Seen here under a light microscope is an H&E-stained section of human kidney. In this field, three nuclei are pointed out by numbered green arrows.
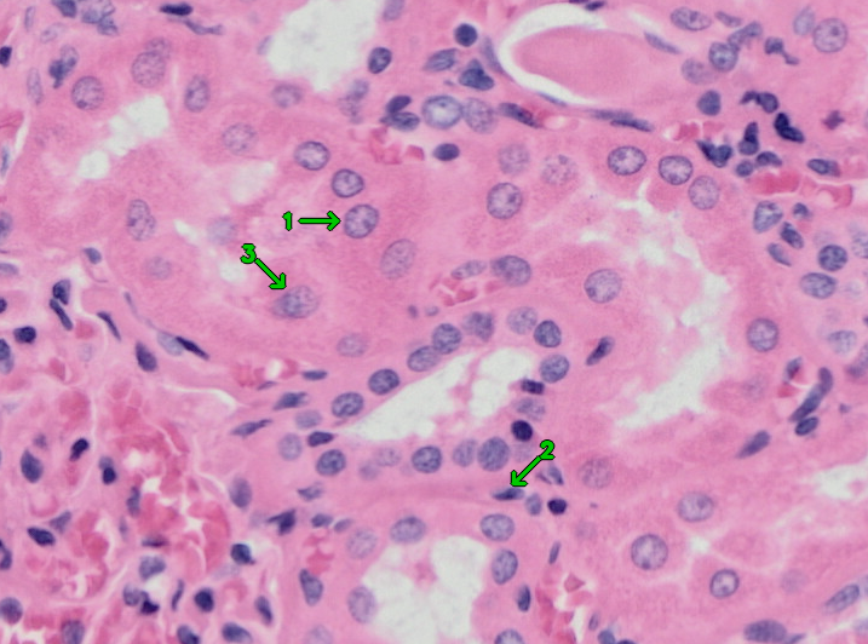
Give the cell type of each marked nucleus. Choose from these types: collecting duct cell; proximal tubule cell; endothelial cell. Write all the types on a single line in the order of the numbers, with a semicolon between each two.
proximal tubule cell; endothelial cell; proximal tubule cell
